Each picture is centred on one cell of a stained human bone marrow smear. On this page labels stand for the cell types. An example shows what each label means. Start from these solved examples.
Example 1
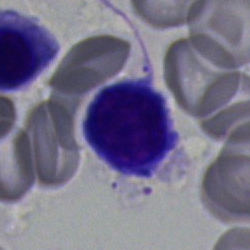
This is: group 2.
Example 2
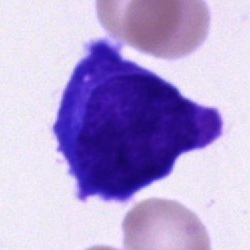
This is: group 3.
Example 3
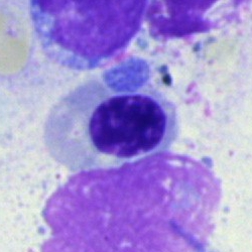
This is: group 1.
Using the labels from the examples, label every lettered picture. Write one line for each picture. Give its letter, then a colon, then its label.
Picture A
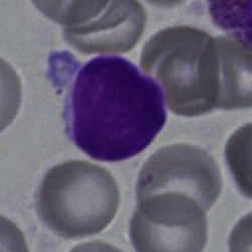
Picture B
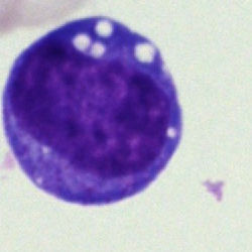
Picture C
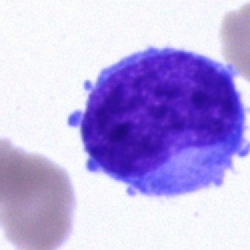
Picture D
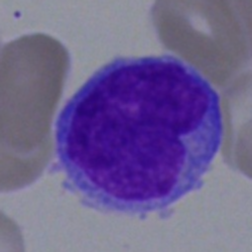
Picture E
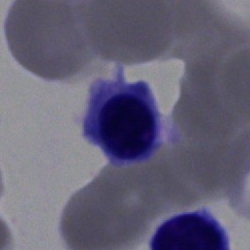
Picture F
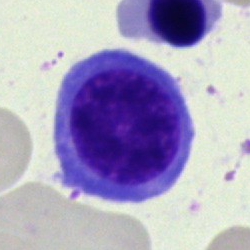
A: group 2.
B: group 3.
C: group 3.
D: group 3.
E: group 1.
F: group 1.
